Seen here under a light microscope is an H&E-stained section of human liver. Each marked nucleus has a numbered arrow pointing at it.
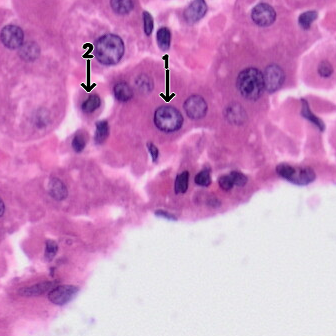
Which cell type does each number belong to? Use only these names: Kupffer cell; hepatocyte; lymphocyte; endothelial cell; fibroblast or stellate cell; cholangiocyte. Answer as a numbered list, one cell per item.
1. hepatocyte
2. Kupffer cell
